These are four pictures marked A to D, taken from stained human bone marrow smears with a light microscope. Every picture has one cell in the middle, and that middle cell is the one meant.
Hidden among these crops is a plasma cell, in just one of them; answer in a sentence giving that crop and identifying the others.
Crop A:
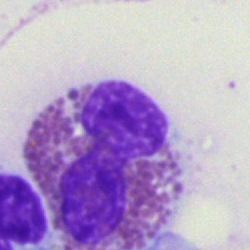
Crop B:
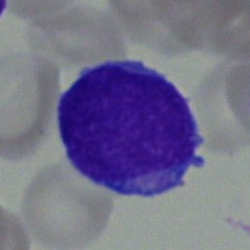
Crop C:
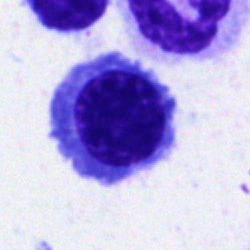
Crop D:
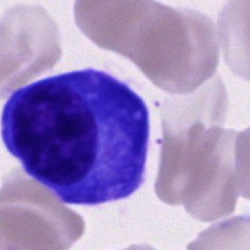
Crop D is showing a plasma cell, while crop A is an eosinophil, crop B is a blast and crop C is an erythroblast.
